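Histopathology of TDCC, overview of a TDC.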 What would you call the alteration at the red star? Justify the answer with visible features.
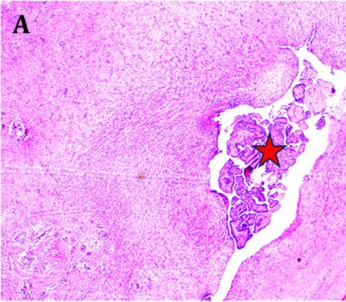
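A space in the tissue is partly filled by branching fronds of purple-staining tissue. The answer: exophytic papillary tumor growth.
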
